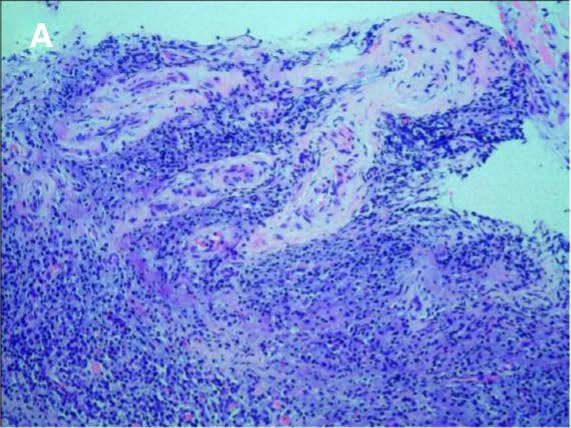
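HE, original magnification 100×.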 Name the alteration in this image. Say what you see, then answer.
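Dense sheets of small round cells with dark nuclei fill much of the tissue. Pink fibrous bands run between the cell-rich areas.
Chronic inflammatory cell infiltration.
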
